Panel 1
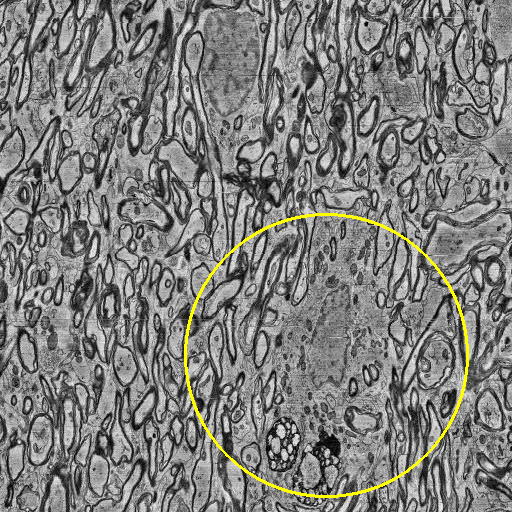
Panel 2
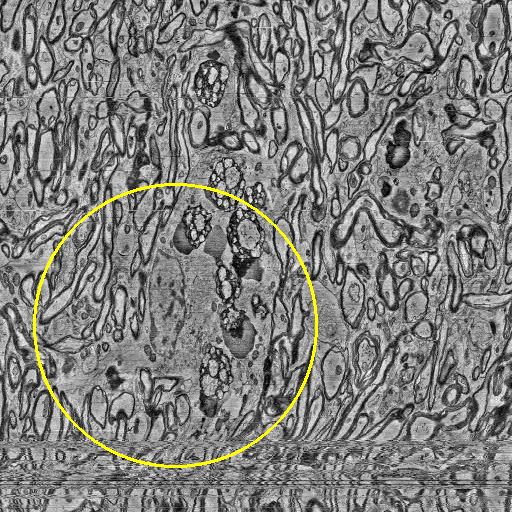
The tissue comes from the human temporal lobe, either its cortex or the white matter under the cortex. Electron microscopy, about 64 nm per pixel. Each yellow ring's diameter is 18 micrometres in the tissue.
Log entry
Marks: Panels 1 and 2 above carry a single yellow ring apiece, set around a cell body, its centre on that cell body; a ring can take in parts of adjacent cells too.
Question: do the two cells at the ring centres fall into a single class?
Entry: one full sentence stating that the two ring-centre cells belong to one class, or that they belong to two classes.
The two ring-centre cells in Panels 1 and 2 belong to one class.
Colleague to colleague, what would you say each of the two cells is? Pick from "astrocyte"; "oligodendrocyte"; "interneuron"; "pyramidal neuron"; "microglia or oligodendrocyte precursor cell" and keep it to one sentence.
Each of the two cells is an astrocyte.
